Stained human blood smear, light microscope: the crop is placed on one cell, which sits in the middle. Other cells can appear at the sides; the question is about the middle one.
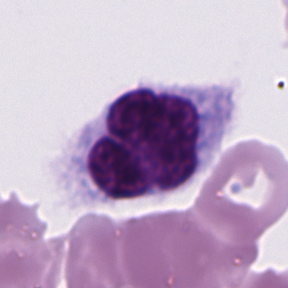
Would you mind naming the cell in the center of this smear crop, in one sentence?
On this slide crop, the central cell is a hairy cell.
